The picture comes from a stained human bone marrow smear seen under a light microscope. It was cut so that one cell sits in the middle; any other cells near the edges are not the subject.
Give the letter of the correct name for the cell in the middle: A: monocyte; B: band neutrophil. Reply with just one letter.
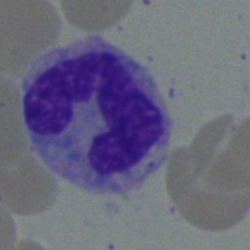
A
